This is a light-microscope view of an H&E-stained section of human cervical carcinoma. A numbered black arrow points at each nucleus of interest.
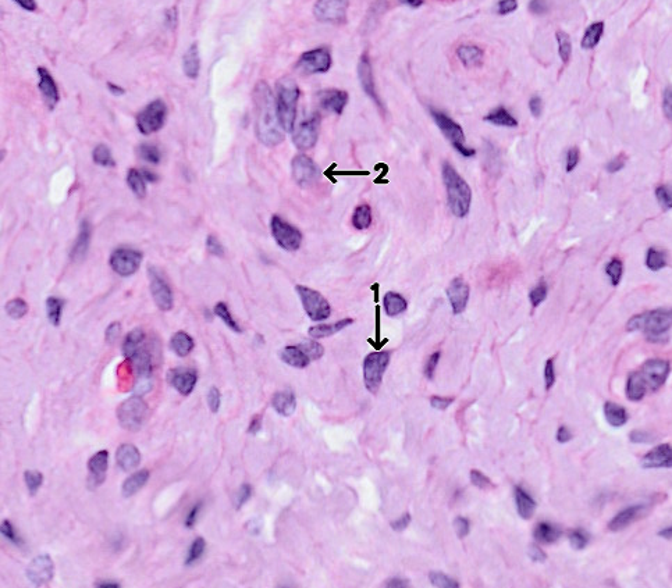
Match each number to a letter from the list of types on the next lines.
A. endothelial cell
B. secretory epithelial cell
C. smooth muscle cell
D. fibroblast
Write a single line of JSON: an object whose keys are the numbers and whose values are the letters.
{"1": "D", "2": "A"}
